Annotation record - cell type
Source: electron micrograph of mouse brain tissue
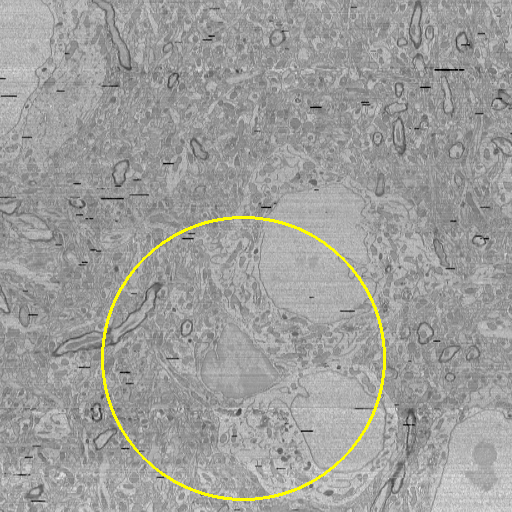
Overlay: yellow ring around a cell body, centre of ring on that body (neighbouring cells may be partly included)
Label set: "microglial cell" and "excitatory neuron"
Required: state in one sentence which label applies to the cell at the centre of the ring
This cell should be labelled as a microglial cell.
